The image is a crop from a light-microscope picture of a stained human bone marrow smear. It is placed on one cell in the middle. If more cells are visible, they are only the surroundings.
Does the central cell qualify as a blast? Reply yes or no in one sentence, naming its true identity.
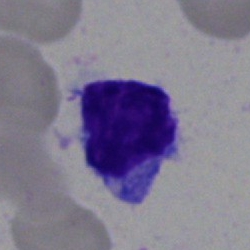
No, the central cell in this crop is a lymphocyte and not a blast.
